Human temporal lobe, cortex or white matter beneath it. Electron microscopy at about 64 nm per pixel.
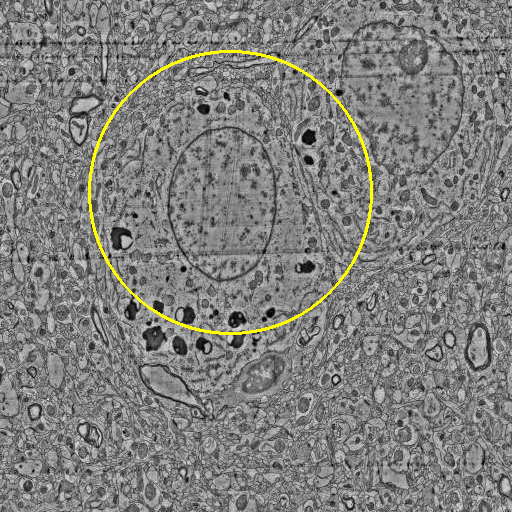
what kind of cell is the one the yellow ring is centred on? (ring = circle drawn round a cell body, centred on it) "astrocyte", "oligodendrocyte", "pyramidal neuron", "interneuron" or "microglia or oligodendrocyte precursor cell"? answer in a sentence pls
The ring is drawn around a pyramidal neuron.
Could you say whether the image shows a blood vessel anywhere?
No, no blood vessel shows in the picture.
